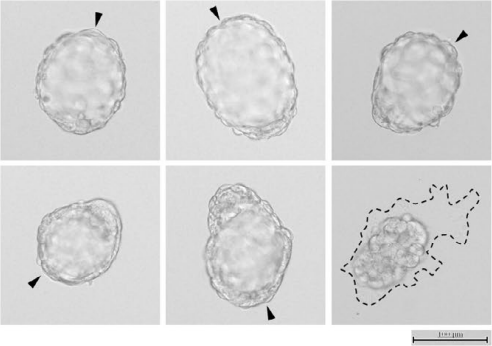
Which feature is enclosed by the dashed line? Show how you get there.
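In one image a dashed line encloses an irregular, flattened spread of cells. The outlined cells extend outward in irregular projections rather than forming a round sphere.
Conclusion: outgrowth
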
